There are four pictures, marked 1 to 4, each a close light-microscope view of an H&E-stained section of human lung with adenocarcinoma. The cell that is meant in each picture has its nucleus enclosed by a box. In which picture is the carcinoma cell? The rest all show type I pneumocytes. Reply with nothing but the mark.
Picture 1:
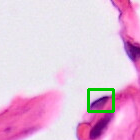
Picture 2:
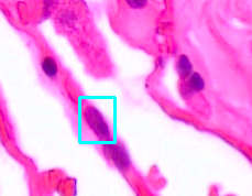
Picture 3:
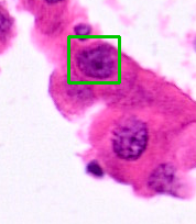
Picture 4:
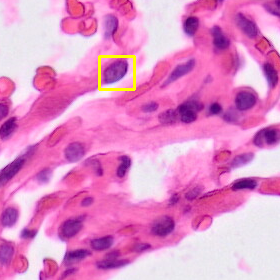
3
